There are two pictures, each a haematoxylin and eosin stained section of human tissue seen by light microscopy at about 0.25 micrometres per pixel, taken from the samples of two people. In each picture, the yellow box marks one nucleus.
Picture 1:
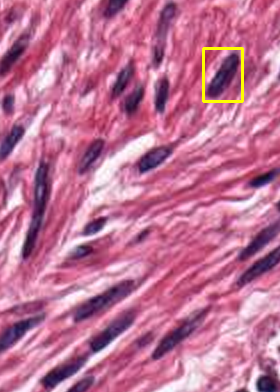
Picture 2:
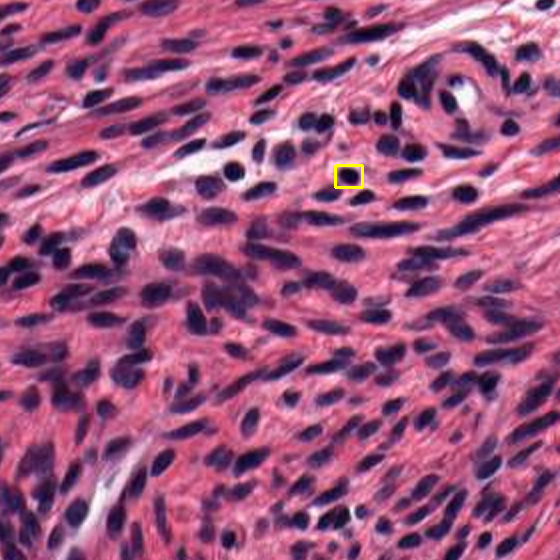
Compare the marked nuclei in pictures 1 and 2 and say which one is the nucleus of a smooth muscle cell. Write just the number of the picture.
1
